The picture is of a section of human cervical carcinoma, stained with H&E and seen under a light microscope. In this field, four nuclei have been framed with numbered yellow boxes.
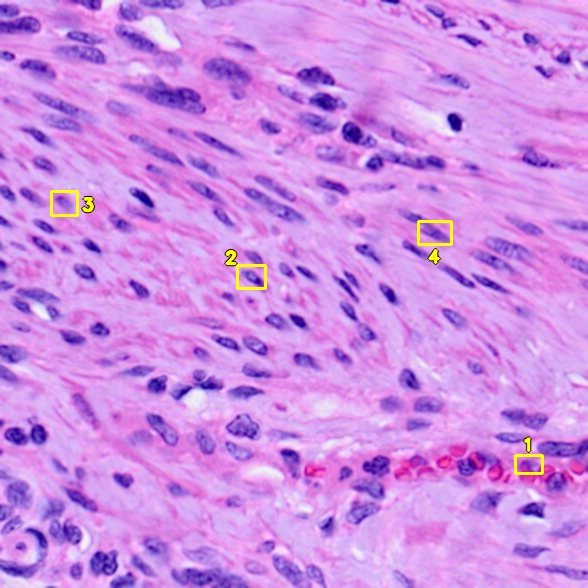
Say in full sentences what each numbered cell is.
Cell 1 is an endothelial cell, cell 2 is a smooth muscle cell, cell 3 is a smooth muscle cell and cell 4 is a smooth muscle cell.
